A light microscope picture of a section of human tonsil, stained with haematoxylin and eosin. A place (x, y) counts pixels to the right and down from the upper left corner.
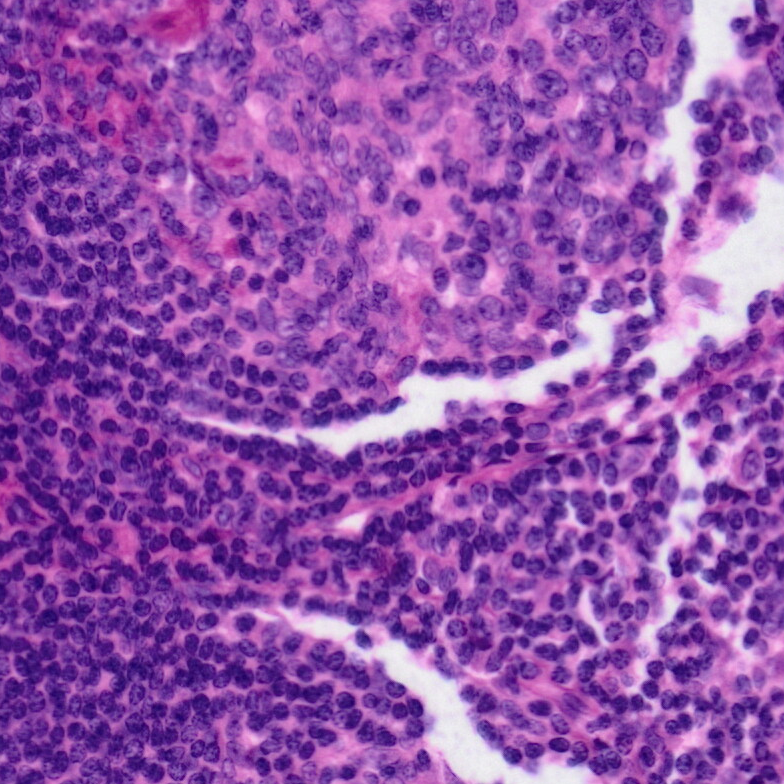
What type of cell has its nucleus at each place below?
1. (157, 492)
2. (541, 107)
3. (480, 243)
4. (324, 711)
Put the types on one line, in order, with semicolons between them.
small lymphocyte; proliferating B cell; proliferating B cell; small lymphocyte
